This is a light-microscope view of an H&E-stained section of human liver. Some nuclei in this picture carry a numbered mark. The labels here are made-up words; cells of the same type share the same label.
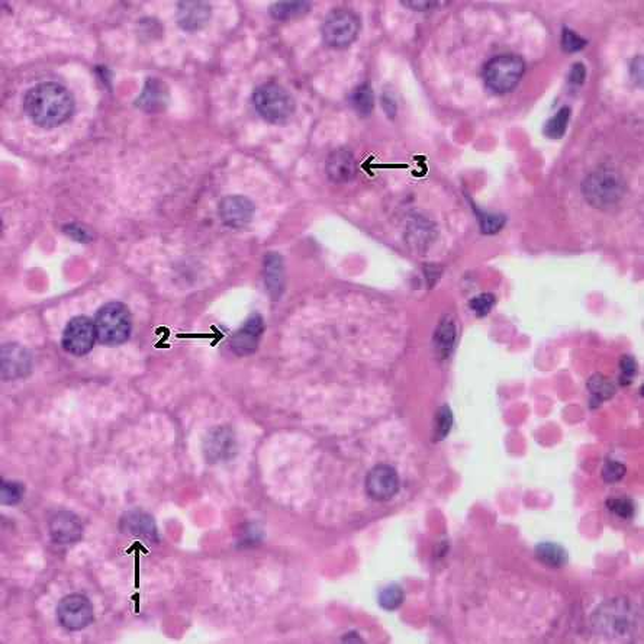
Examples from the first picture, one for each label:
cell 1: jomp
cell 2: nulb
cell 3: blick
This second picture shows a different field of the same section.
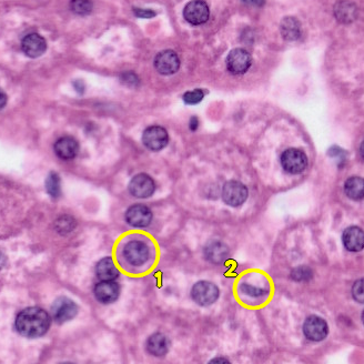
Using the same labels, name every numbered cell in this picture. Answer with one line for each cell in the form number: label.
1: blick
2: jomp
